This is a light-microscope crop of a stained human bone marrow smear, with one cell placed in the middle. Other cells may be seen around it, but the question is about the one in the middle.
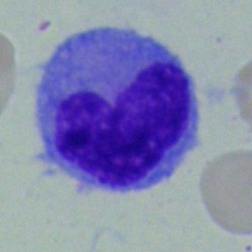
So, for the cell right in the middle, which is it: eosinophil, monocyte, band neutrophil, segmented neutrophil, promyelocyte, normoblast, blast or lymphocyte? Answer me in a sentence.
The cell centered in this field of view is a monocyte.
